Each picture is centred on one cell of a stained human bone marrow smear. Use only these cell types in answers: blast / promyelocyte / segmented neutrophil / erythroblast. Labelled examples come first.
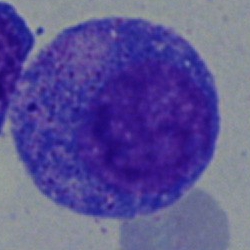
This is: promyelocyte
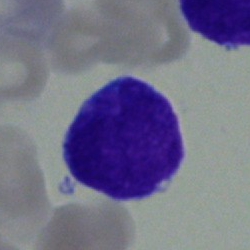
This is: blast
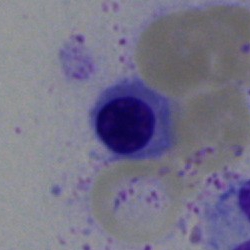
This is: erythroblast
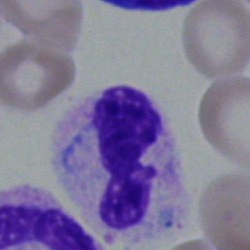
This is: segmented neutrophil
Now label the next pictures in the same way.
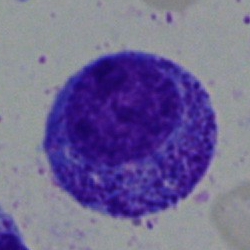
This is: promyelocyte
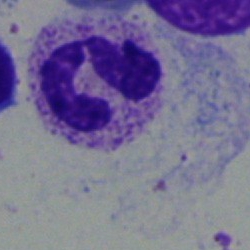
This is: segmented neutrophil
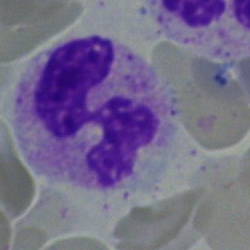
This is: segmented neutrophil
